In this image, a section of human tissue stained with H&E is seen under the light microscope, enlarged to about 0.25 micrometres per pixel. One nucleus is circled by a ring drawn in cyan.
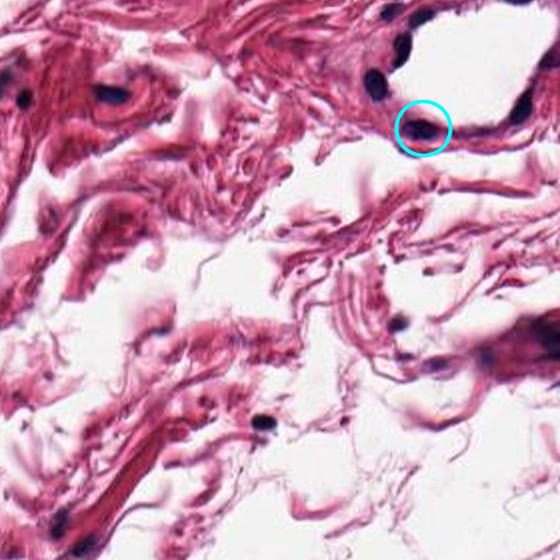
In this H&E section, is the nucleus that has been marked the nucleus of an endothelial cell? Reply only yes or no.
yes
